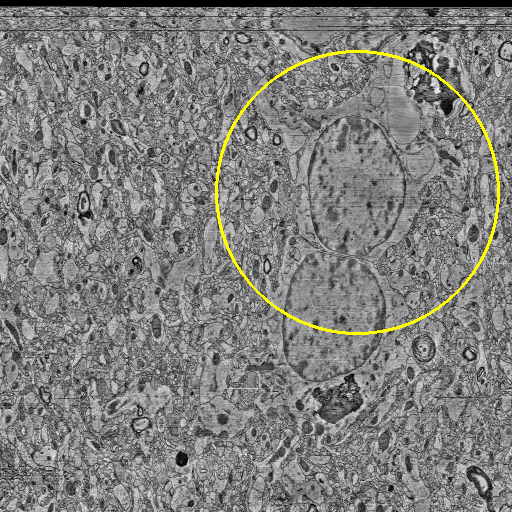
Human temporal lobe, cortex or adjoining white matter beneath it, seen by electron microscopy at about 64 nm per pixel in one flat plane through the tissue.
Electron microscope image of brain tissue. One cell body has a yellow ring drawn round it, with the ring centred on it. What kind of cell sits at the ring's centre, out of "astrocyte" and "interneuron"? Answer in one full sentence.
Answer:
It is an astrocyte whose cell body sits at the centre of the yellow ring.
